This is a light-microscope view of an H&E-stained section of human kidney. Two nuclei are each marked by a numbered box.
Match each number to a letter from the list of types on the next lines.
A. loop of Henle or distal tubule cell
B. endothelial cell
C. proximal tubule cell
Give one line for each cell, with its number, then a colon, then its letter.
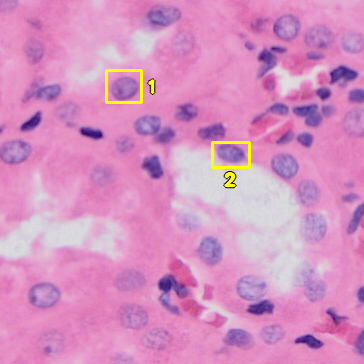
1: C
2: A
